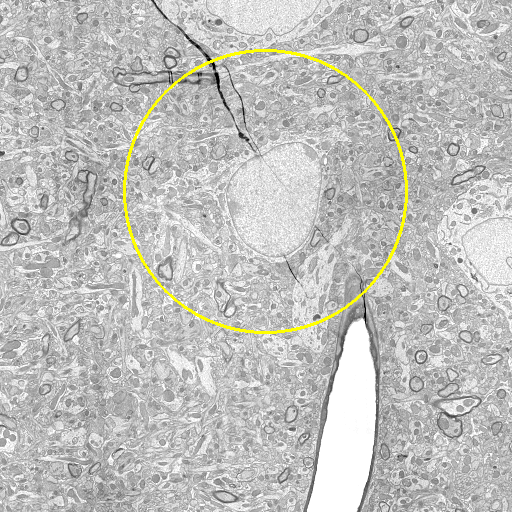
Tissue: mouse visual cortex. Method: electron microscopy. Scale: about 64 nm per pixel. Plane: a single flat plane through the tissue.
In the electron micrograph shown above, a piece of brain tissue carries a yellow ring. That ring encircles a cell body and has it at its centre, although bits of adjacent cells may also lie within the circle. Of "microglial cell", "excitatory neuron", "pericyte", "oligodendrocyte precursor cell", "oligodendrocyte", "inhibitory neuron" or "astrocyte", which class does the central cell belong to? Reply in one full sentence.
The cell body at the centre of the yellow ring belongs to an astrocyte.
